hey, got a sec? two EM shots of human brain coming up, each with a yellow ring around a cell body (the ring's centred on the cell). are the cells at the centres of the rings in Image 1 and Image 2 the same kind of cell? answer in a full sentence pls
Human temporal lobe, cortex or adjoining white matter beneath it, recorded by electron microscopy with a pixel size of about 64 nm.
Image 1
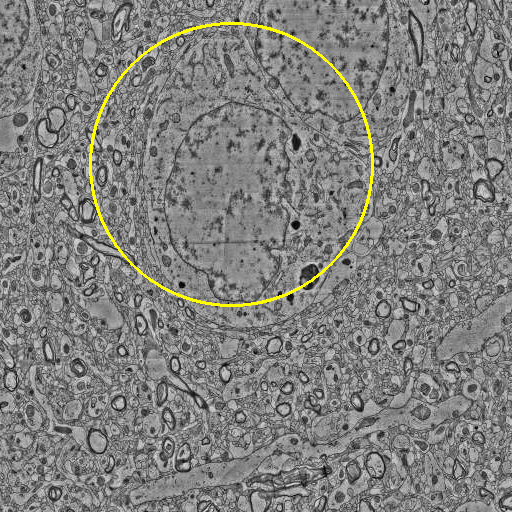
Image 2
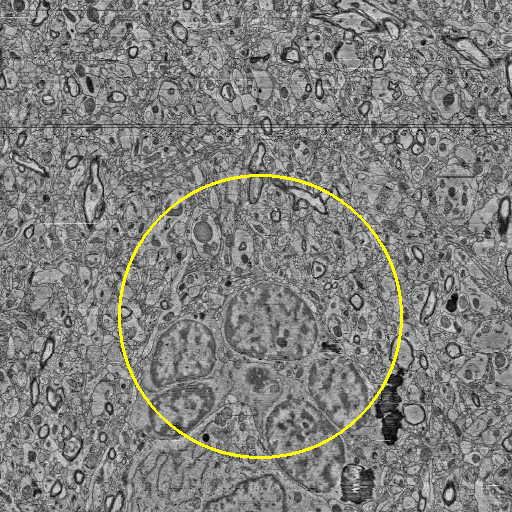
No, they are two kinds of cell.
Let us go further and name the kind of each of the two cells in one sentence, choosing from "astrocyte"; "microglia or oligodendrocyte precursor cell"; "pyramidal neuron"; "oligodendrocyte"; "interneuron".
The ring of the first picture is on a pyramidal neuron, the ring of the second on an oligodendrocyte.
